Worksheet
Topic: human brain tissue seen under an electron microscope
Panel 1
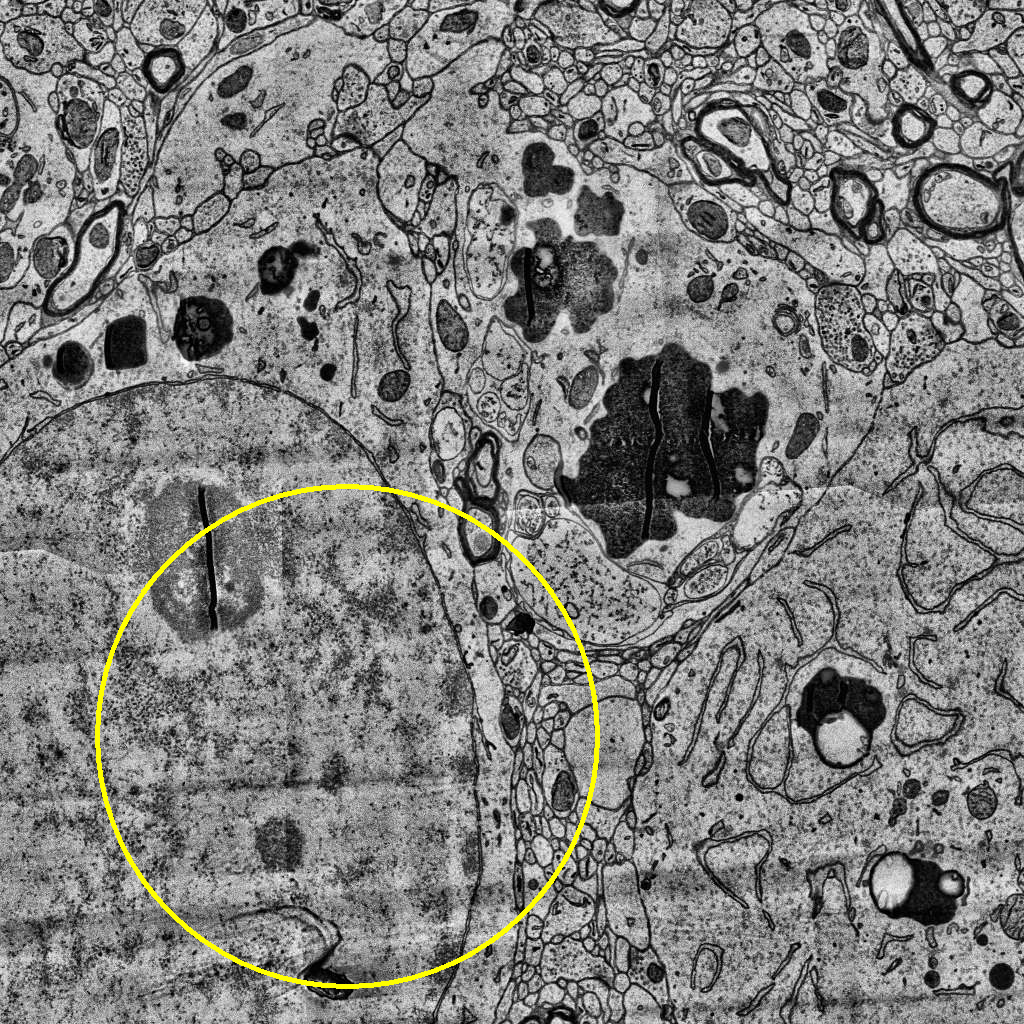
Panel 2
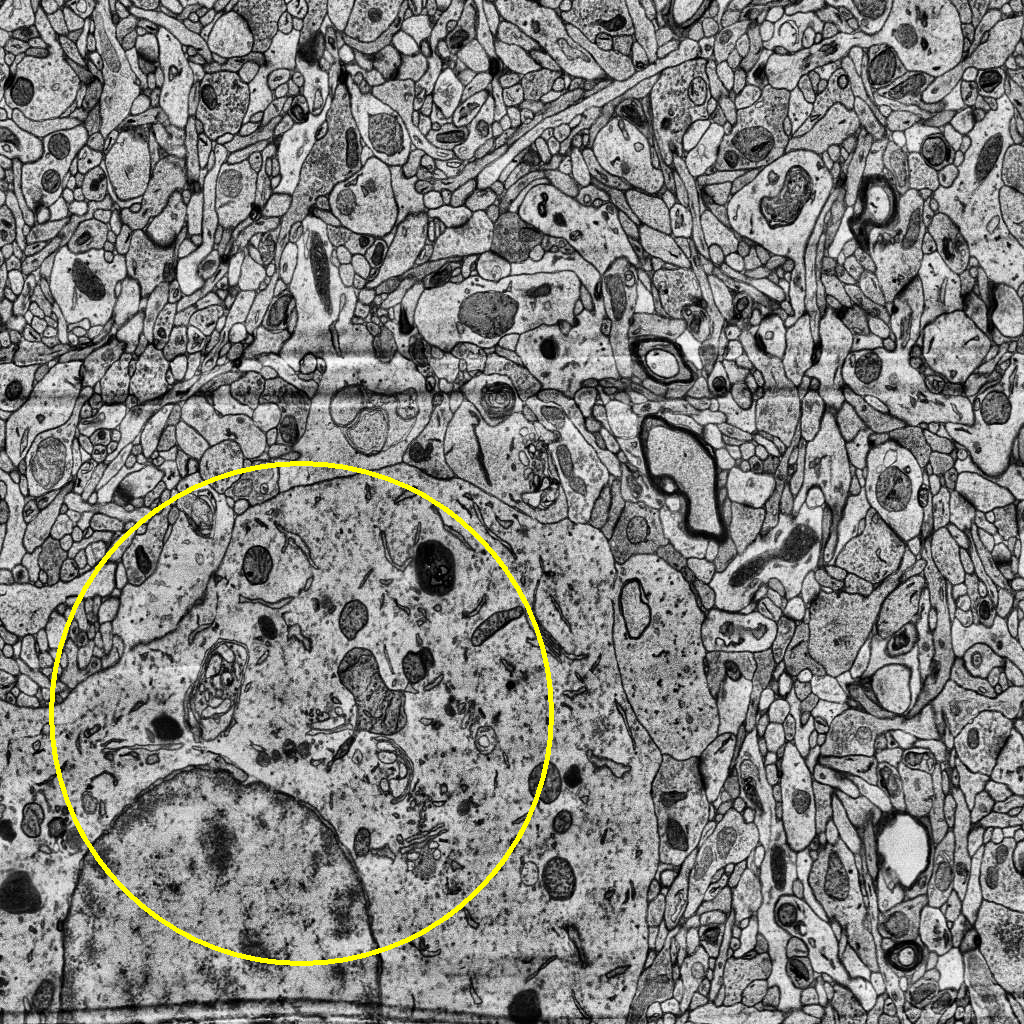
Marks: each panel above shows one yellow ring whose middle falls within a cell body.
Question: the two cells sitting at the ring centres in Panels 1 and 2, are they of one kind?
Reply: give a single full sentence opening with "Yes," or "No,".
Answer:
Yes, the two cells at the ring centres in Panel 1 and Panel 2 are of one kind.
